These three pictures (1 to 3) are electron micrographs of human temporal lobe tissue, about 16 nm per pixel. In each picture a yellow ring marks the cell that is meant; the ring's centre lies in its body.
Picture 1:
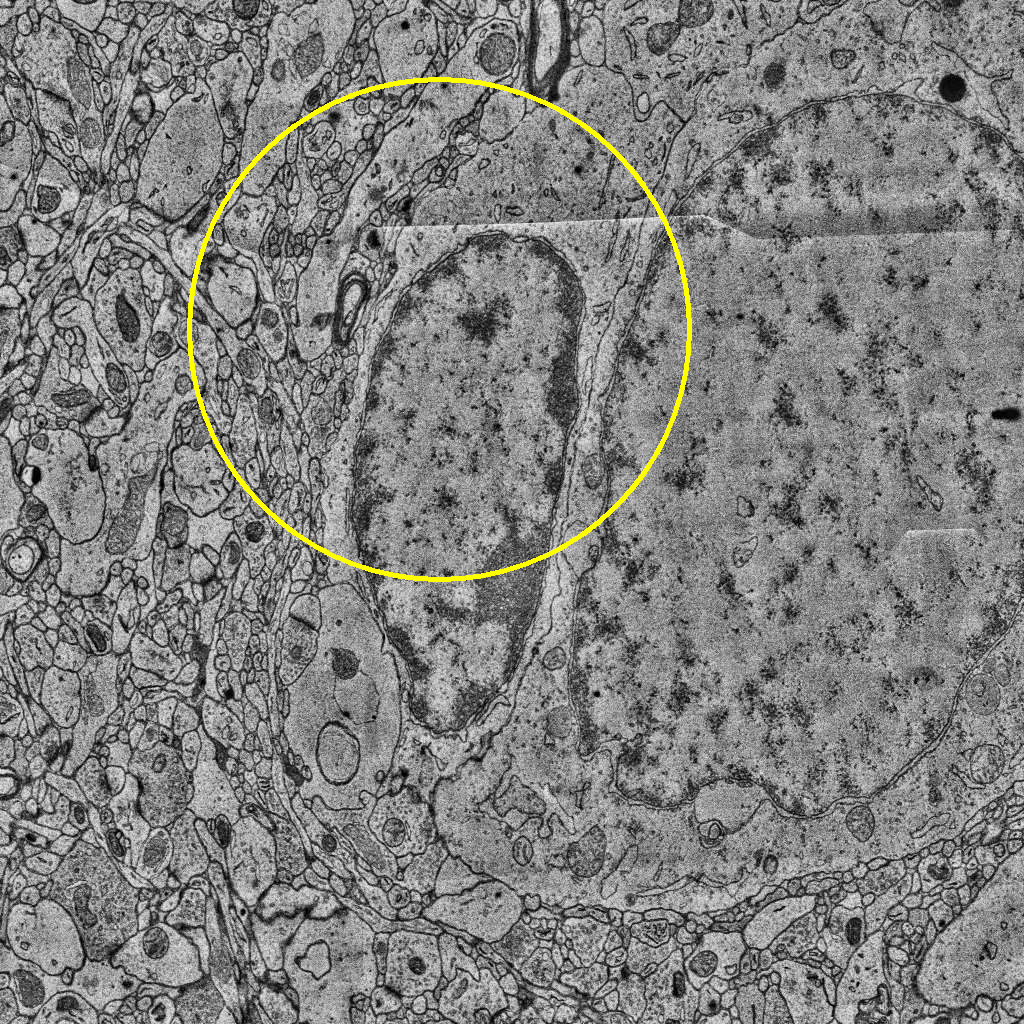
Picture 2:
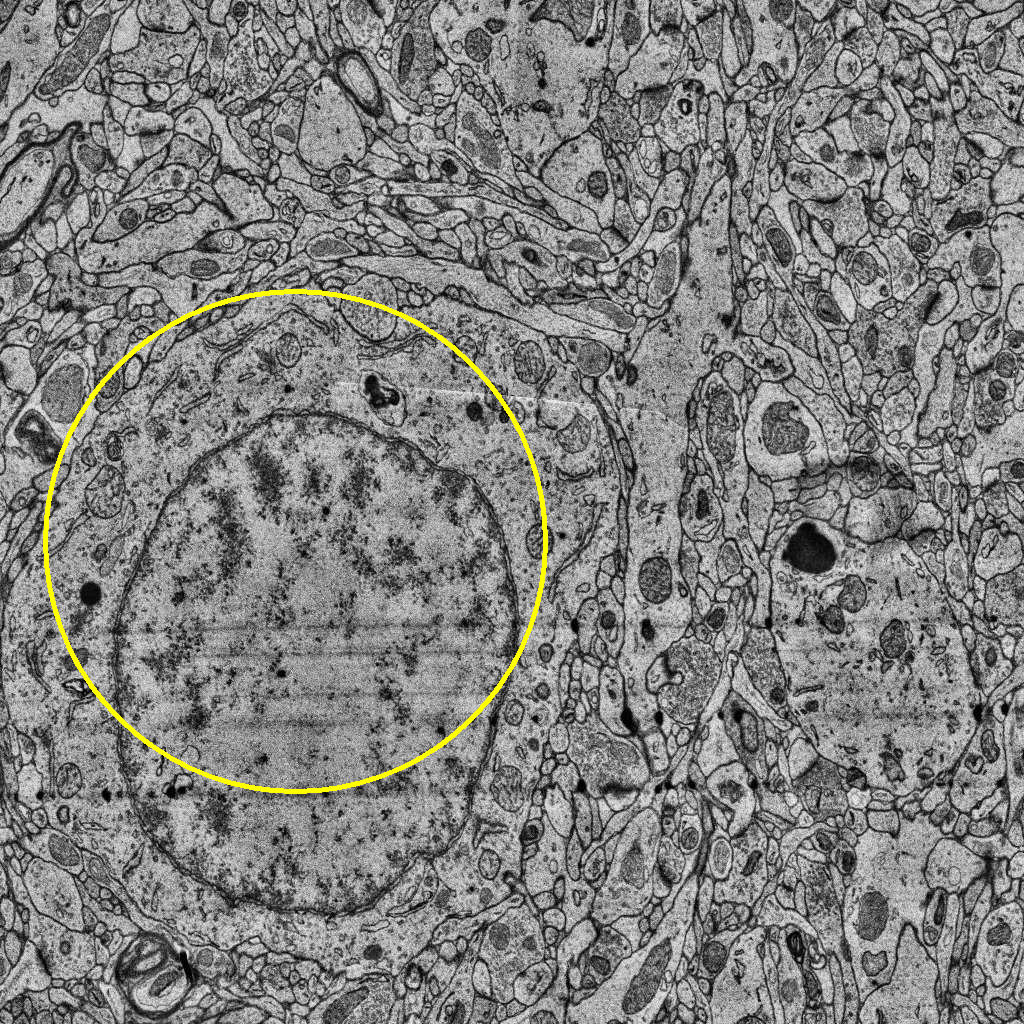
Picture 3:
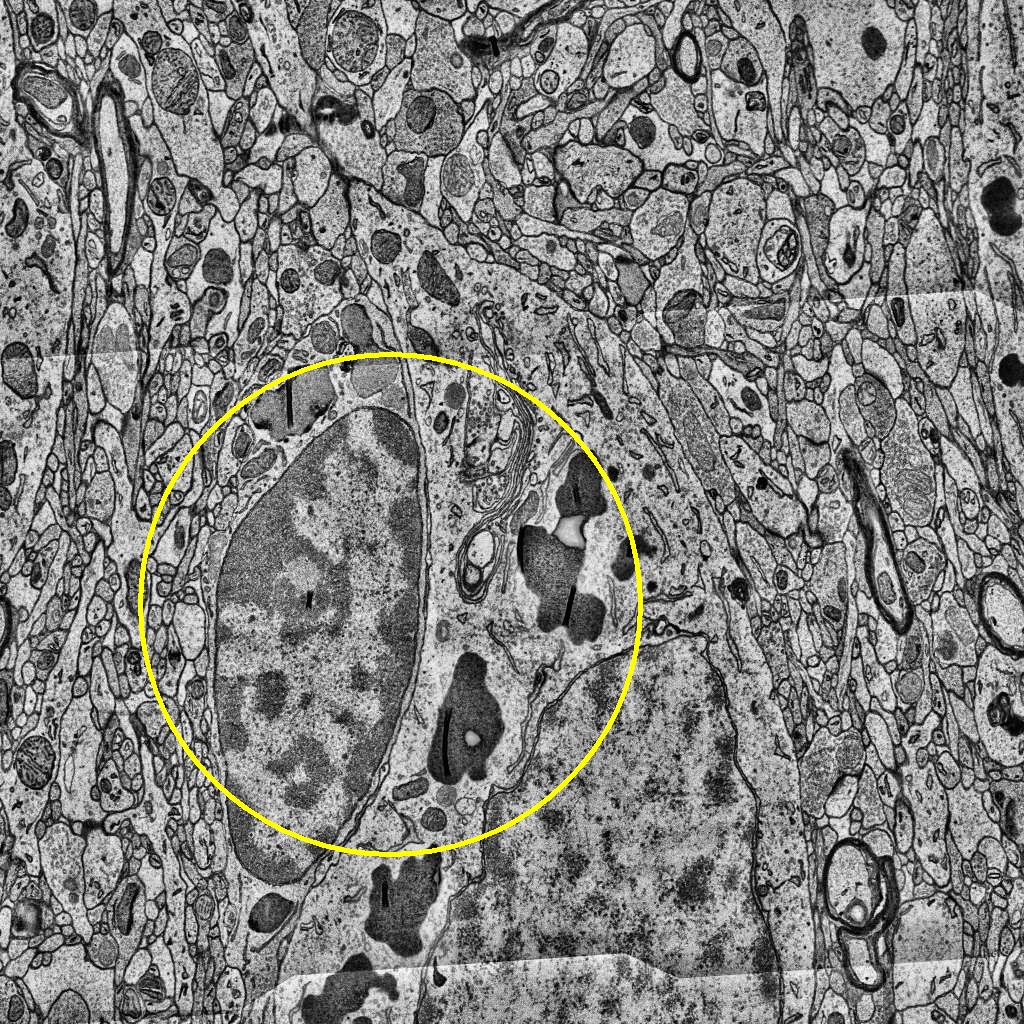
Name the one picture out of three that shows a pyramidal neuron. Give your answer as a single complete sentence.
The cell in picture 2 is the pyramidal neuron.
